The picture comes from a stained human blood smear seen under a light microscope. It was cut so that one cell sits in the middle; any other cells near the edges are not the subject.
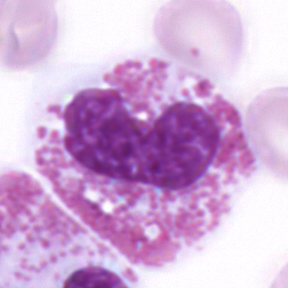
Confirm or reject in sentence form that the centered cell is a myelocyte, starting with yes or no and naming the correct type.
No, the central cell is an eosinophil, not a myelocyte.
